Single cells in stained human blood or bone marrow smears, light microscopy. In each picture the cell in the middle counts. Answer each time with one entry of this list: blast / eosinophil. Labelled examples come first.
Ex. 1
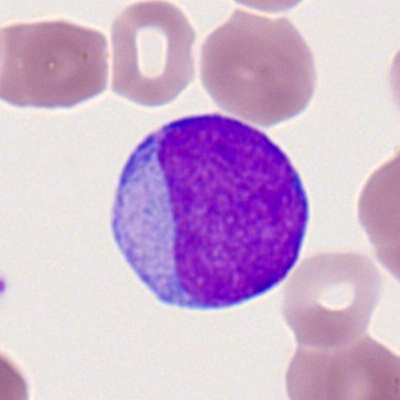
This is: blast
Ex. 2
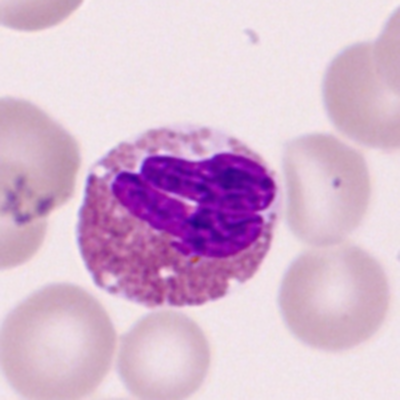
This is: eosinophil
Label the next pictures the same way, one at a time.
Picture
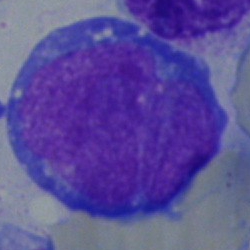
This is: blast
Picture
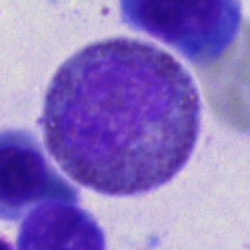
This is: eosinophil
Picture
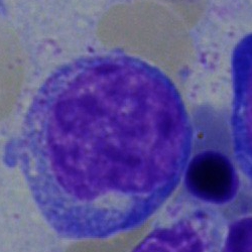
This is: blast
